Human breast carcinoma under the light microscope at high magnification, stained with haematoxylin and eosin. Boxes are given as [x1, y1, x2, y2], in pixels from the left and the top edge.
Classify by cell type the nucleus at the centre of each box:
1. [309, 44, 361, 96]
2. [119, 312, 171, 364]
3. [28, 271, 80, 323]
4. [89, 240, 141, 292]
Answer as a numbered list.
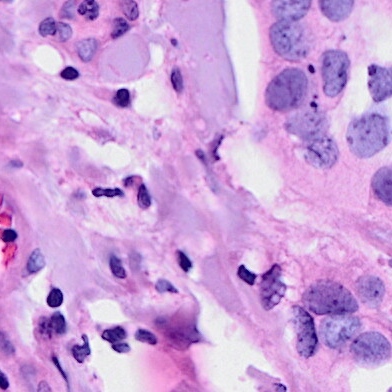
1. carcinoma cell
2. lymphocyte
3. lymphocyte
4. lymphocyte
